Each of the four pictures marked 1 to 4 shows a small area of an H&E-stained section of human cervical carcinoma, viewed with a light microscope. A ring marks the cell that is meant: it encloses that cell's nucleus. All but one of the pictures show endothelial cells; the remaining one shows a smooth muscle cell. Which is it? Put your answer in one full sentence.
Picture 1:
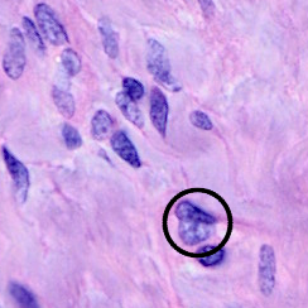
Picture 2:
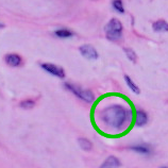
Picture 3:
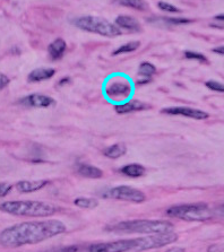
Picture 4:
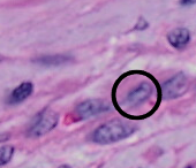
The picture with the smooth muscle cell is 3.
